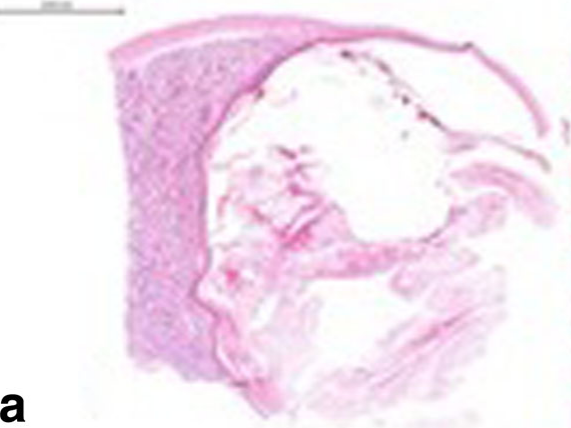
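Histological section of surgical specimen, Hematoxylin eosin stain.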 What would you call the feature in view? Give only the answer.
epidermoid cyst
